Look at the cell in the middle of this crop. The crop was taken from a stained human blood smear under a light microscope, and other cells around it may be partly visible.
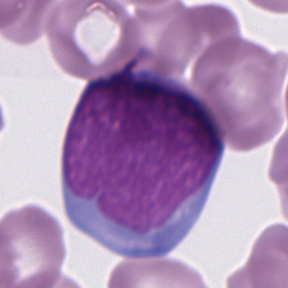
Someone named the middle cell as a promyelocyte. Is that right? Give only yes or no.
no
